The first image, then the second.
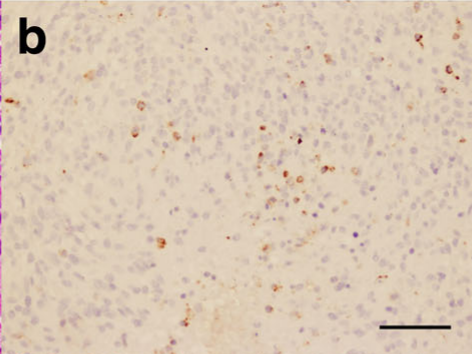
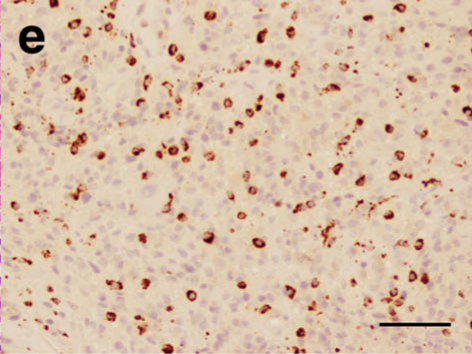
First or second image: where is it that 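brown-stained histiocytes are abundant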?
The second image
